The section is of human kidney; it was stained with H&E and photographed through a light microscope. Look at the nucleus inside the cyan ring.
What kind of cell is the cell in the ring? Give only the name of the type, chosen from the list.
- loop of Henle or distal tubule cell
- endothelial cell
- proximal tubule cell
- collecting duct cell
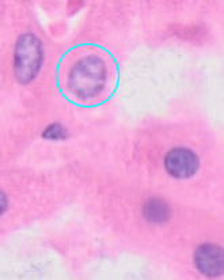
proximal tubule cell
